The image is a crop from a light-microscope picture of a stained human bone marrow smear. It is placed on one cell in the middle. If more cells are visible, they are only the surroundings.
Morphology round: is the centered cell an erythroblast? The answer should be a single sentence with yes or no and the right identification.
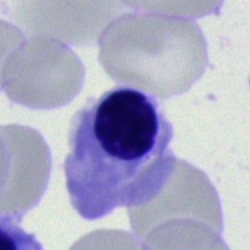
Yes, the cell occupying the middle of the crop is an erythroblast.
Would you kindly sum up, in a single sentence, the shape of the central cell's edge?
Along the periphery, ragged stretches or projections make the outline irregular.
